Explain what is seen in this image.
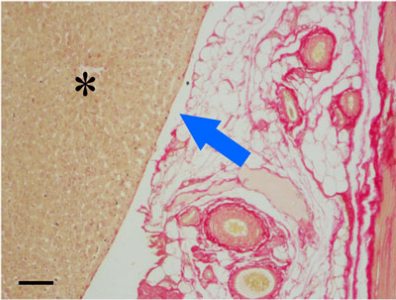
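Liver parenchyma of uniformly stained, yellowish-brown hepatocytes lies on the left and ends in a smooth, sharp edge. A clear space separates this edge from loose tissue of rounded empty spaces with thin red septa and small vessels with red walls at right; no red fibres adhere to the liver surface.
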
